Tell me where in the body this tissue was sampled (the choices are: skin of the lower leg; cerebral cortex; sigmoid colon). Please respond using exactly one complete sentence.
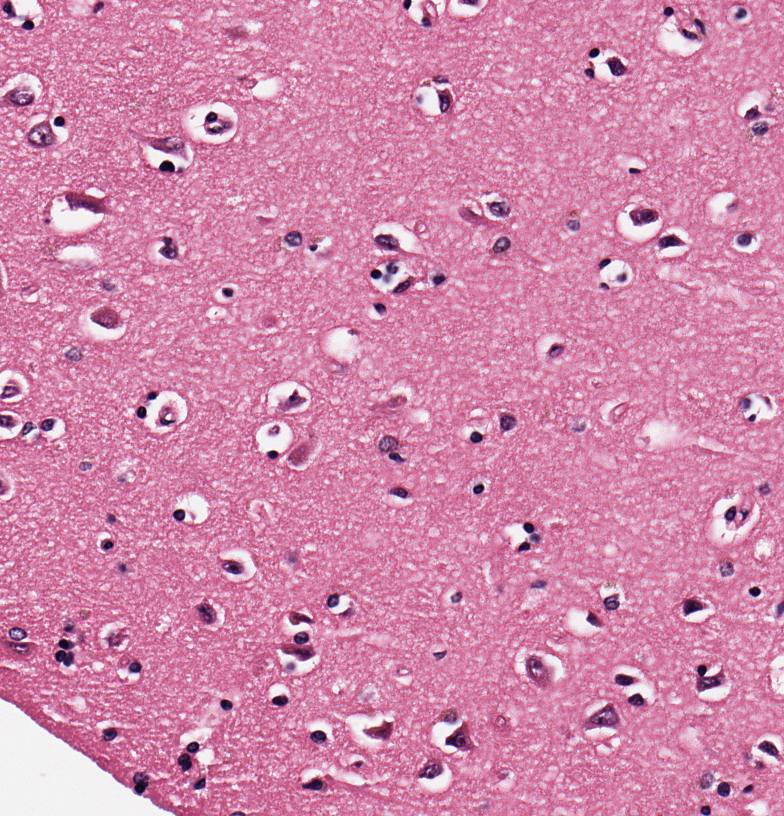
The section was made from a sample of the cerebral cortex.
